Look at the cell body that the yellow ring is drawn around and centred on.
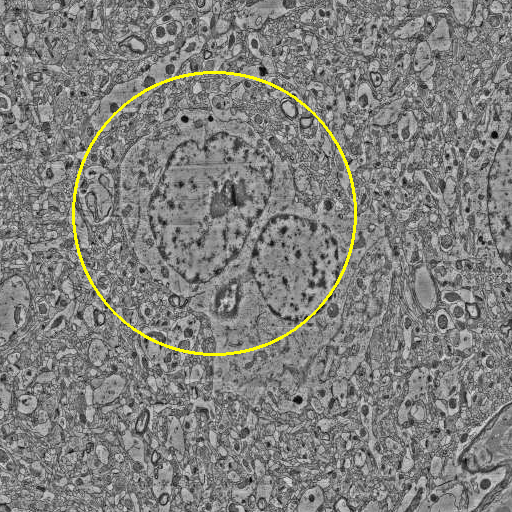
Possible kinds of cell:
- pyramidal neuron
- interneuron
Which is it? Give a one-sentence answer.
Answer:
The centred cell body is that of an interneuron.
